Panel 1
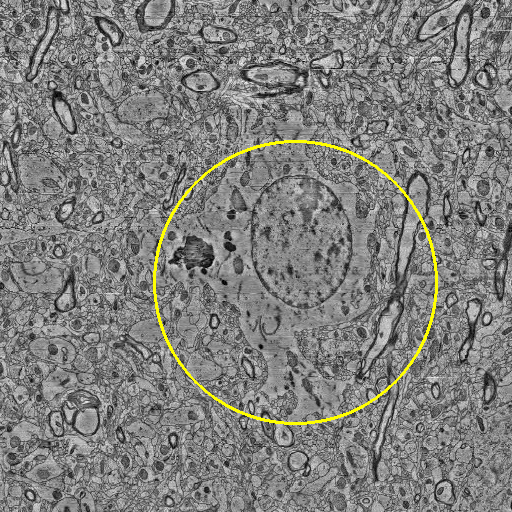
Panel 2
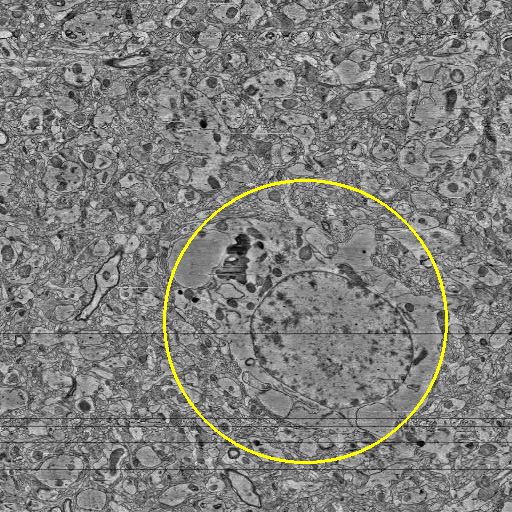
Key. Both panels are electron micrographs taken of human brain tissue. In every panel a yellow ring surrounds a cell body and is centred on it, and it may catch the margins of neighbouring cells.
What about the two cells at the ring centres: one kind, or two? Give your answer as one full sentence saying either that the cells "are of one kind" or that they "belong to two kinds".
Across Panels 1 and 2, the two cells at the ring centres are of one kind.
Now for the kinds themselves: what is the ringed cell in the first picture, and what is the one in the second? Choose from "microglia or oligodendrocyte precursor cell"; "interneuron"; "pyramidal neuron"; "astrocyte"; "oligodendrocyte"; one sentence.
The ring centre holds an astrocyte in each of the two pictures.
